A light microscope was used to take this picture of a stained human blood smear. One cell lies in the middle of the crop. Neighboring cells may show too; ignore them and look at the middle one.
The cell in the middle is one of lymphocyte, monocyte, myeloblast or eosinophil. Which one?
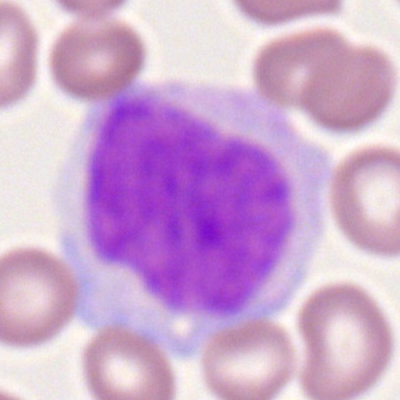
monocyte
